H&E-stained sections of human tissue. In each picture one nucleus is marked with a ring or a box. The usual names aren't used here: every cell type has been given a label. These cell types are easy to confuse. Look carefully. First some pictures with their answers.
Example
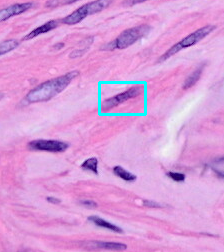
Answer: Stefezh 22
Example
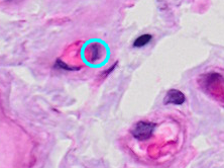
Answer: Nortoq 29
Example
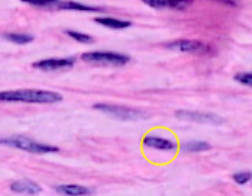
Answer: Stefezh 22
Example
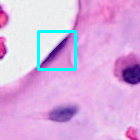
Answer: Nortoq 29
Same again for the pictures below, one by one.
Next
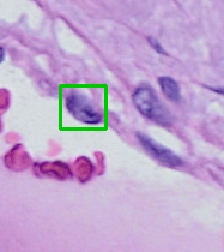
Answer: Nortoq 29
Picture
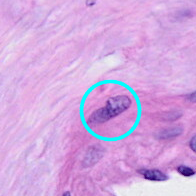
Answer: Stefezh 22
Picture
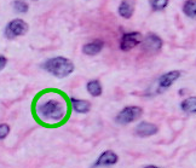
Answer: Stefezh 22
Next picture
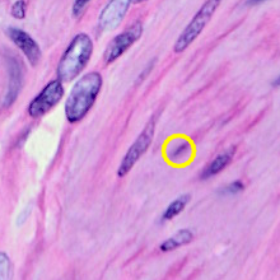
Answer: Stefezh 22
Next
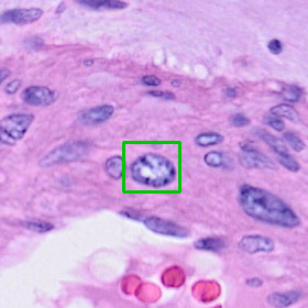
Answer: Stefezh 22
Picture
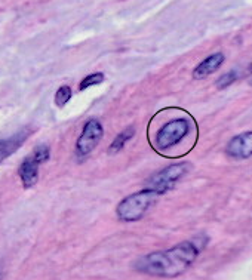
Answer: Stefezh 22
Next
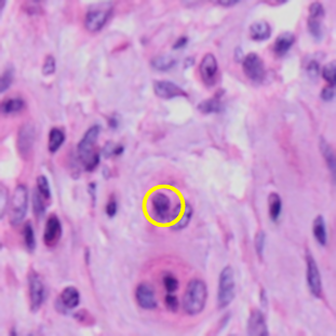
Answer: Nortoq 29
